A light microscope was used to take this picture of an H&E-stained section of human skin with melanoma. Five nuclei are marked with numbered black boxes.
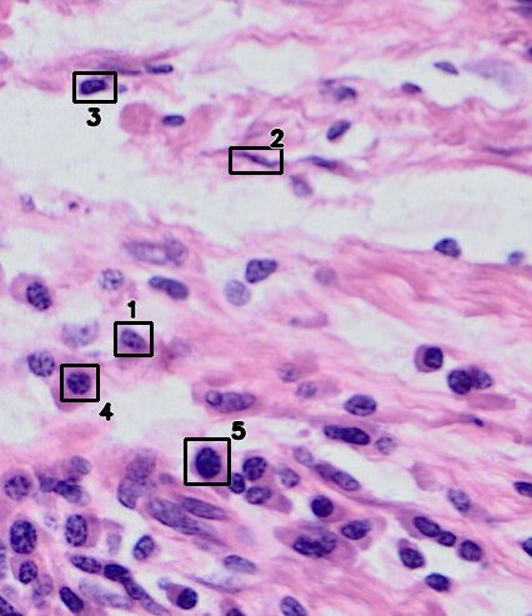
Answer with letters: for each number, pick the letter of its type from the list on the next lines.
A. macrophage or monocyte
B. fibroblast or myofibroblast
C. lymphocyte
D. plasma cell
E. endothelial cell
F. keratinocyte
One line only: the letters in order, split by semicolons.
D; B; C; D; D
